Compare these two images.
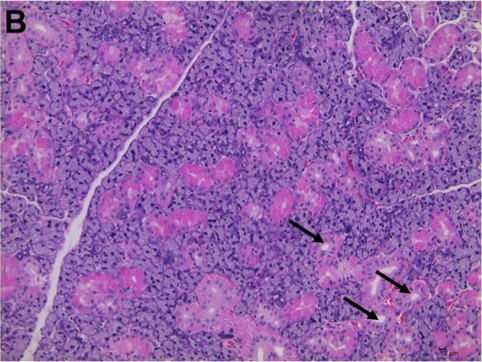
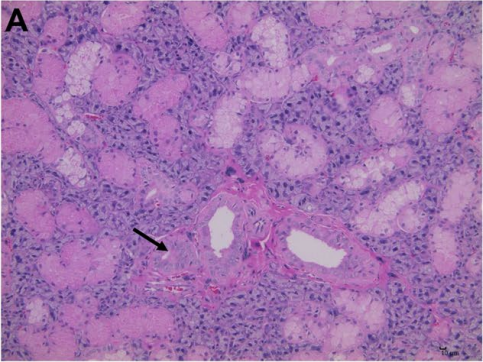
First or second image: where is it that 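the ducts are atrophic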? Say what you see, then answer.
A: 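First image: the tubular profiles are small with narrow lumens. Second image: large ducts with wide open white lumens lie in pink connective tissue. That points to this answer: the first image.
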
